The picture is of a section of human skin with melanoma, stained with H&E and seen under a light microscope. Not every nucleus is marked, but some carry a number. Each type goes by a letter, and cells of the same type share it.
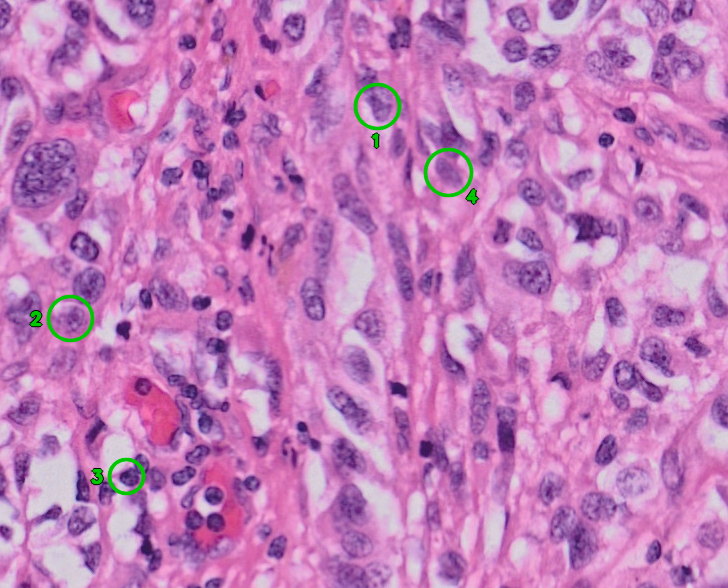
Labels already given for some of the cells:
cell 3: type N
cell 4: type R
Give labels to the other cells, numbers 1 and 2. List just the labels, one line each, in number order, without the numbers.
type R
type R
